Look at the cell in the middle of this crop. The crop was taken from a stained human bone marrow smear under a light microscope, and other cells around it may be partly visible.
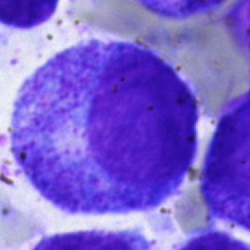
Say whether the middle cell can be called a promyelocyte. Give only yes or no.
yes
